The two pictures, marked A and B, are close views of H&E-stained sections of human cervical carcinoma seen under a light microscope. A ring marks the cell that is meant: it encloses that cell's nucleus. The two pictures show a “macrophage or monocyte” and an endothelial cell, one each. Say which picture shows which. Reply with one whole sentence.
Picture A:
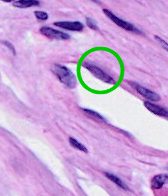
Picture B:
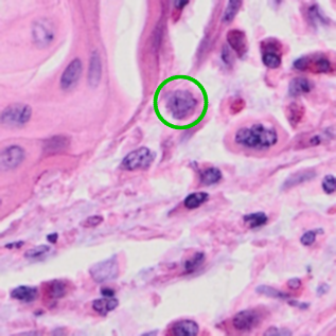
It is picture A that shows an endothelial cell, and picture B that shows a “macrophage or monocyte”.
